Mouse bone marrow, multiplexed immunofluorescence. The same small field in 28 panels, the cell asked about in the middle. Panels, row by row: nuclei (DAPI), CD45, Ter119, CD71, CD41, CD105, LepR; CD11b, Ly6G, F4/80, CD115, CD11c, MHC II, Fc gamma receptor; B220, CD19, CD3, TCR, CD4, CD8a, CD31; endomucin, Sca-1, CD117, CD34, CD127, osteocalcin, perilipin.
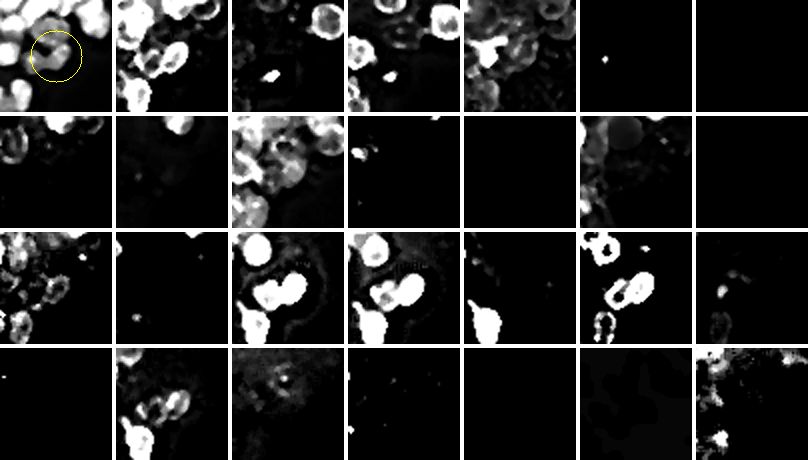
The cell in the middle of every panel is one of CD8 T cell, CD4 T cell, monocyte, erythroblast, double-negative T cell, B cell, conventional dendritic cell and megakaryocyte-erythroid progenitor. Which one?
CD8 T cell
